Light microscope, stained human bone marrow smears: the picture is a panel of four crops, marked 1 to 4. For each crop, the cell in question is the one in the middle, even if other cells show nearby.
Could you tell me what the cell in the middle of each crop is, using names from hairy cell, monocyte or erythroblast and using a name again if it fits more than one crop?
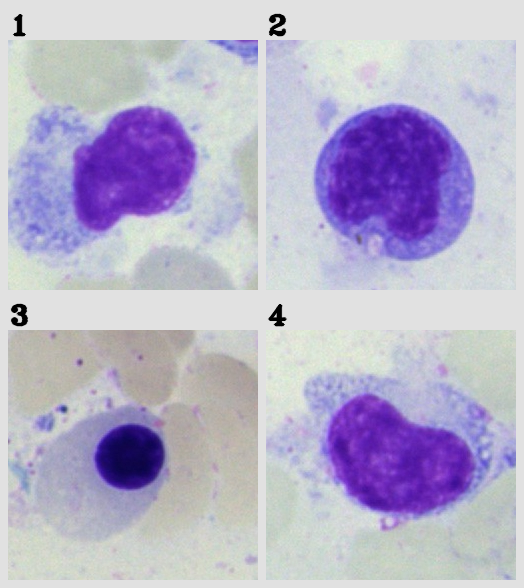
1: hairy cell
2: monocyte
3: erythroblast
4: hairy cell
